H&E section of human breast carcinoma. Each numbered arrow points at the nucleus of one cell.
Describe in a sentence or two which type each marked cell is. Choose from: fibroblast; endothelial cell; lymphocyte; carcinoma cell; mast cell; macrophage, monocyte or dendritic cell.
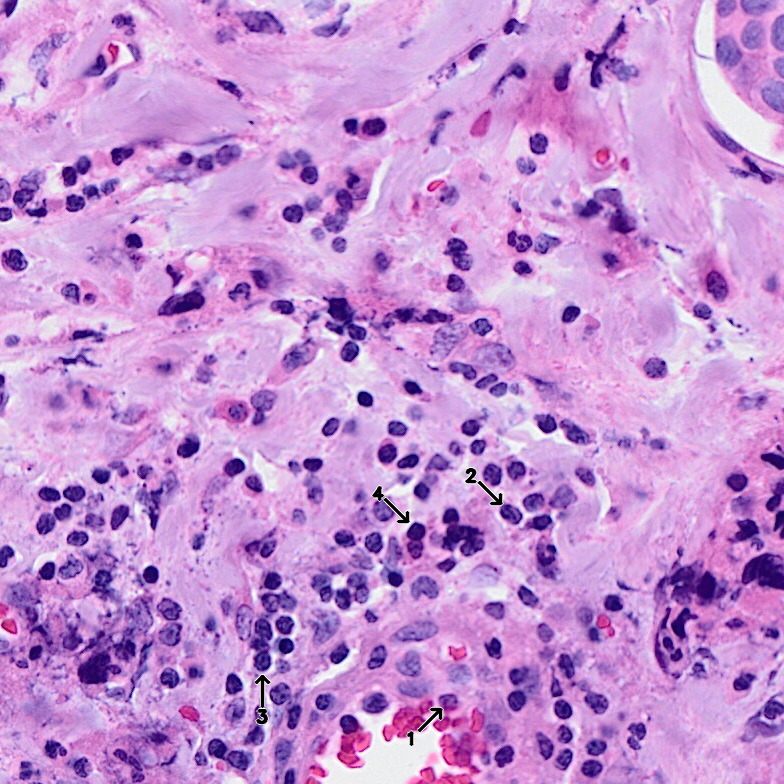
Cell 1 is an endothelial cell. Cells 2, 3 and 4 are lymphocytes.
